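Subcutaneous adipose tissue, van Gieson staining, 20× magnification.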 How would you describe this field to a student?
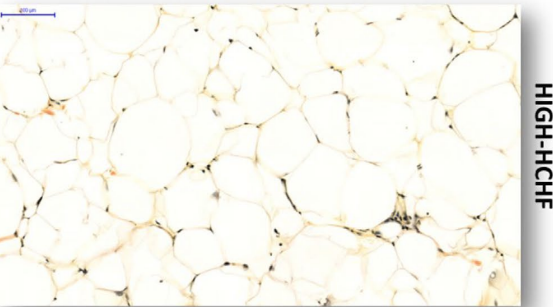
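The cells are round to polygonal and vary in size, each outlined by a thin pale rim of cytoplasm, with small dark flattened nuclei pressed to the periphery. Thin reddish strands of connective tissue run between some cells, and a small cluster of dark nuclei lies in one interstitial space.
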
